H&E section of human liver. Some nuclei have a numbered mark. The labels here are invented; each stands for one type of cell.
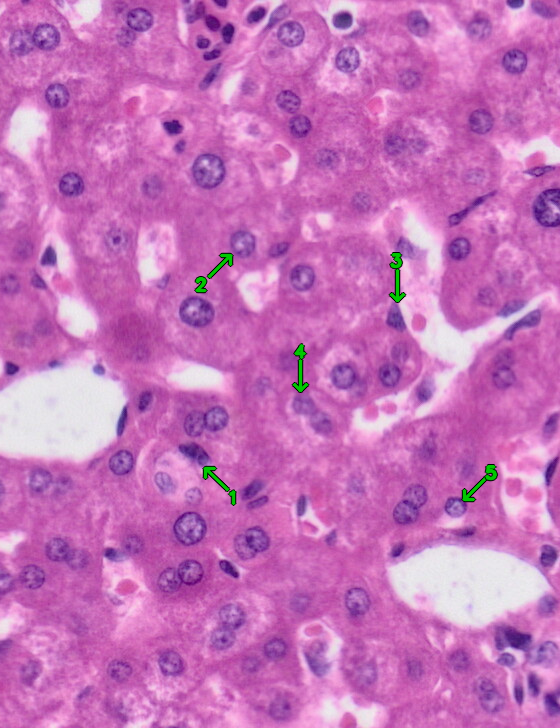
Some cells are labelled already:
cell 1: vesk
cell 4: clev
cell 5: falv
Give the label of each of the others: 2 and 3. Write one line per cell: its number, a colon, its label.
2: clev
3: vesk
